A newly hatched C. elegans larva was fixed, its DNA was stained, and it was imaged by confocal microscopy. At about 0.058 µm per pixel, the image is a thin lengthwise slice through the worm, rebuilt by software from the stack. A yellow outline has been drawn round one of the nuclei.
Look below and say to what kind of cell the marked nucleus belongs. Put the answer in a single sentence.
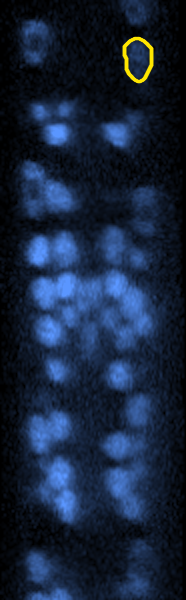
This is the nucleus of a hypodermal cell (hyp).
